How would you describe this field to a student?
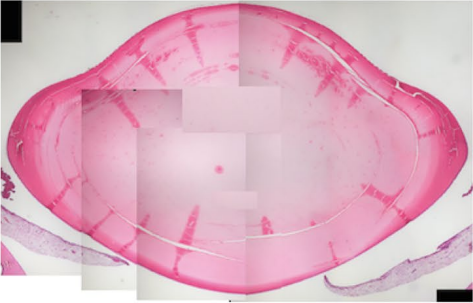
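This is a whole section of a crystalline lens, stained pink with eosin, showing its biconvex outline. The tissue is built of concentric lamellae of lens fibers that follow the contour of the lens, with a more homogeneous, paler central region and more intensely pink outer cortex. Small pieces of thin, purple-stained tissue lie outside the lens at its lower edges.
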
